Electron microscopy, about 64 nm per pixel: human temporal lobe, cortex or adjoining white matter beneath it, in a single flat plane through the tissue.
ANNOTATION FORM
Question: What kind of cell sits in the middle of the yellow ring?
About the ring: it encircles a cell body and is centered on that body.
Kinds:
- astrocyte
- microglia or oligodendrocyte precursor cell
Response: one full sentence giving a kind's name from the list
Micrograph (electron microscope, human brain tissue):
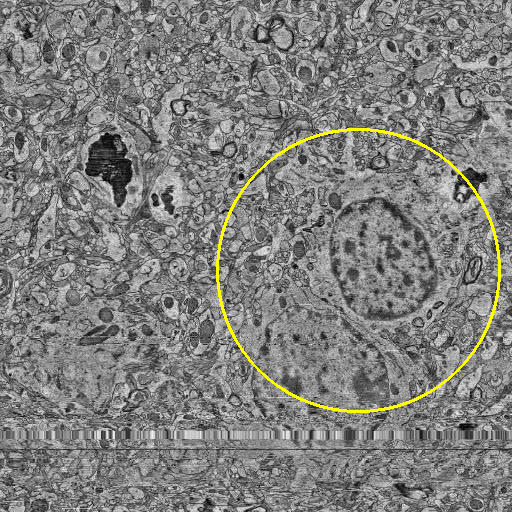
The kind of cell found at the center of the yellow ring in the micrograph is an astrocyte.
